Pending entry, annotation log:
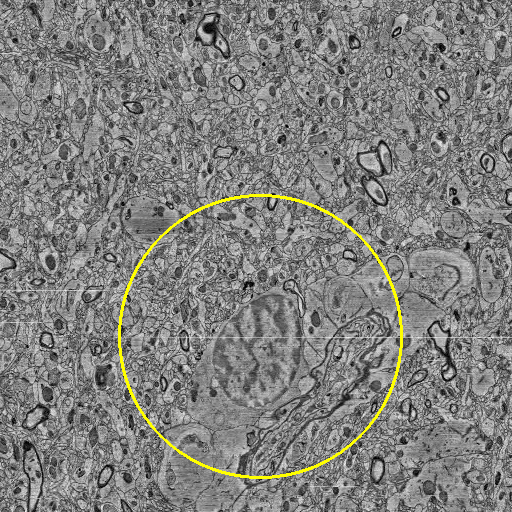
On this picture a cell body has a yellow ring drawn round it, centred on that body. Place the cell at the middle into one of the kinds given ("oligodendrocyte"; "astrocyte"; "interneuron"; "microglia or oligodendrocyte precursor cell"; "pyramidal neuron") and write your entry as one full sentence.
The cell body at the middle of the yellow ring belongs to an oligodendrocyte.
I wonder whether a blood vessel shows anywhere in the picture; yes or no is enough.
Yes, a blood vessel can be seen.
